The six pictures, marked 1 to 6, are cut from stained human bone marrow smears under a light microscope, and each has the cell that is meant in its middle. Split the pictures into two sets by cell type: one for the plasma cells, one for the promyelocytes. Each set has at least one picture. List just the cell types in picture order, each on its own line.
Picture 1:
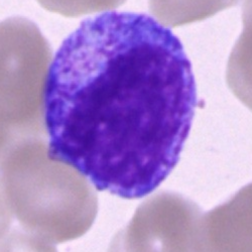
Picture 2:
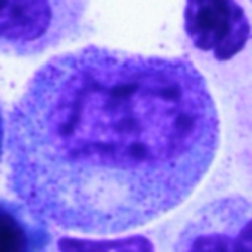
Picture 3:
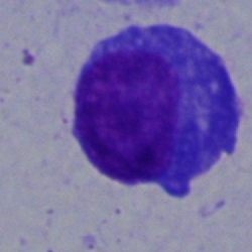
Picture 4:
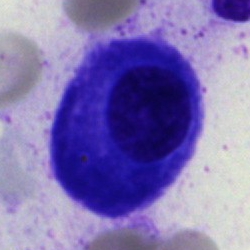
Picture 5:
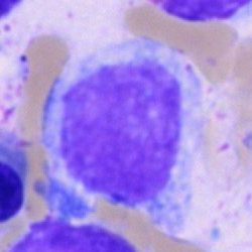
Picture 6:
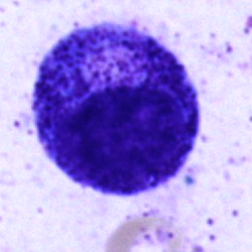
promyelocyte
promyelocyte
plasma cell
plasma cell
promyelocyte
promyelocyte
